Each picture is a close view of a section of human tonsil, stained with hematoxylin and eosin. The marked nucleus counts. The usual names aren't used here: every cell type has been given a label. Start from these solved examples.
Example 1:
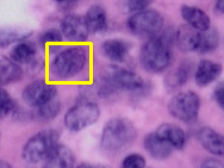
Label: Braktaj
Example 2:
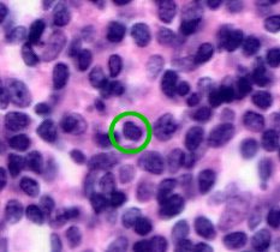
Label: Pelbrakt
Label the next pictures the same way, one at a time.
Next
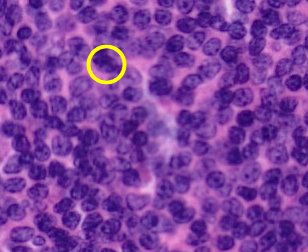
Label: Pelbrakt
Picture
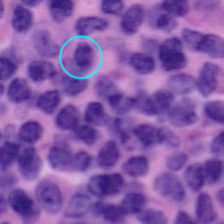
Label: Pelbrakt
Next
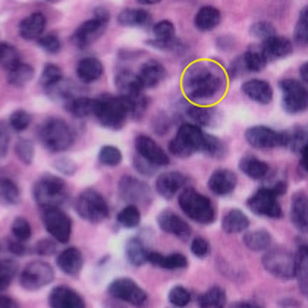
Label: Braktaj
